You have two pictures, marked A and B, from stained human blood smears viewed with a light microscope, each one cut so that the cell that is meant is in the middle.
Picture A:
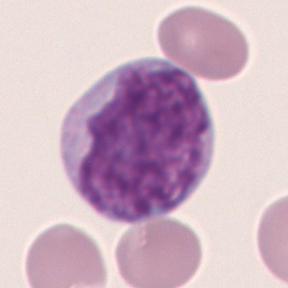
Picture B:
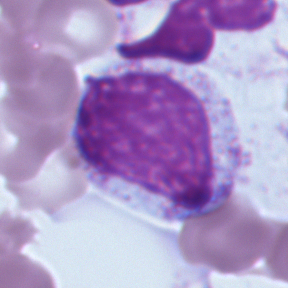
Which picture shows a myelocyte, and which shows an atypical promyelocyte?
A: atypical promyelocyte
B: myelocyte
